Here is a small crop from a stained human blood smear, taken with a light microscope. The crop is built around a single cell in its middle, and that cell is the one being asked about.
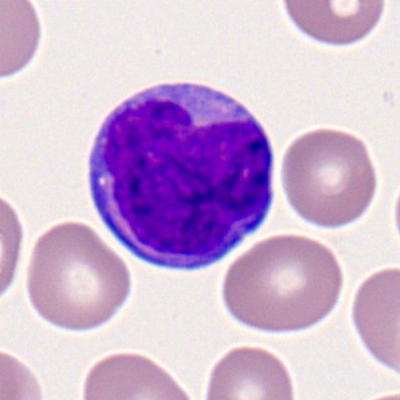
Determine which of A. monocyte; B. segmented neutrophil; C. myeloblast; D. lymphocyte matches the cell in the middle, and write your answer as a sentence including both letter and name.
Option C holds, for the cell in the middle is a myeloblast.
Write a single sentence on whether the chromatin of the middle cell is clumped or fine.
You can see that its chromatin is coarsely clumped.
